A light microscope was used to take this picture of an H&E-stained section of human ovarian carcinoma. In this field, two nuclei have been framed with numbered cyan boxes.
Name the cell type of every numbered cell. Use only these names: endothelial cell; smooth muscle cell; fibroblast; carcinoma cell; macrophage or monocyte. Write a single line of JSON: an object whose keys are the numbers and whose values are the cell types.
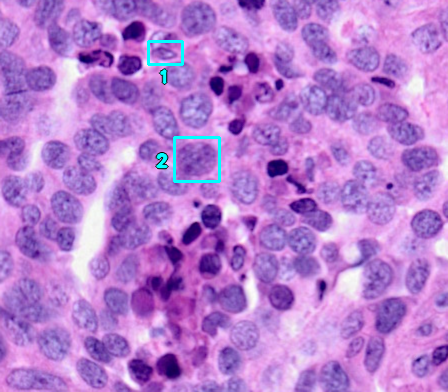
{"1": "macrophage or monocyte", "2": "carcinoma cell"}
